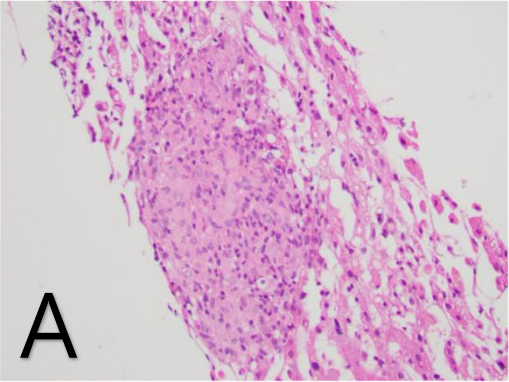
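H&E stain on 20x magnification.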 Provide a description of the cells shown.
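This lower-power view shows a non-necrotizing granuloma as a well-defined oval nodule of pale pink cells within looser tissue. The nodule is made of epithelioid cells with pale cytoplasm. Its centre is without necrosis. Darker small nuclei crowd its border, and the surrounding tissue is loose and strand-like with scattered cells.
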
